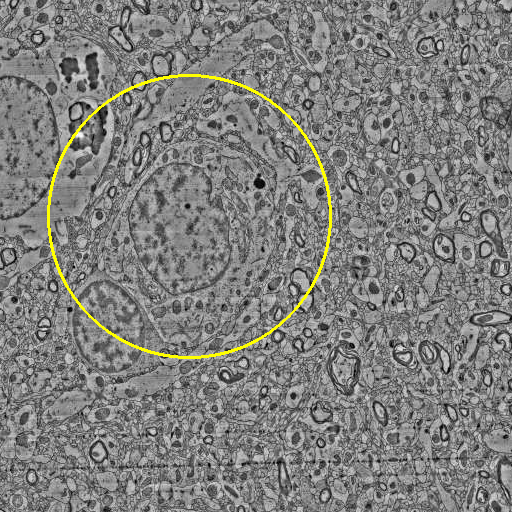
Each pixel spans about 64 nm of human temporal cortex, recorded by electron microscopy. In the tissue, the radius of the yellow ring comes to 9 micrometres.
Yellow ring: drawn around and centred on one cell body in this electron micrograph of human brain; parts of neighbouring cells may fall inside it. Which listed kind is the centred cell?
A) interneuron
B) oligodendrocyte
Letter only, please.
A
